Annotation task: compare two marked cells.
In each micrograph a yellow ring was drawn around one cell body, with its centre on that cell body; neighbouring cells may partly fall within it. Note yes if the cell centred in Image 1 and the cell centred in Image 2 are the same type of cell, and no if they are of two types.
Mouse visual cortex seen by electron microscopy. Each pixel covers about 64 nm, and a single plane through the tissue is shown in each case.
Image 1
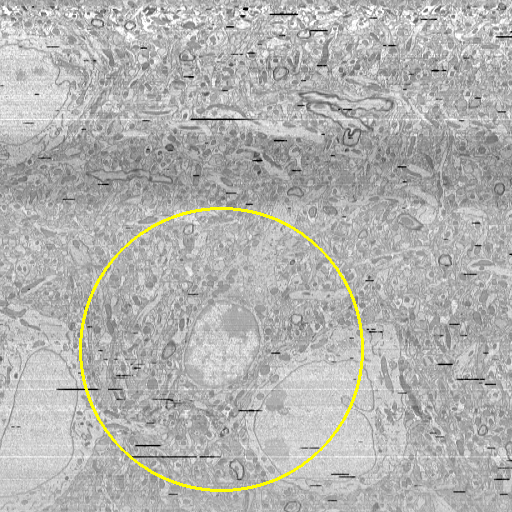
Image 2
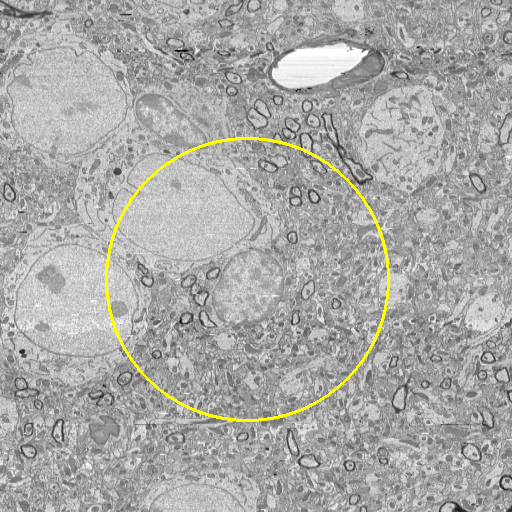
yes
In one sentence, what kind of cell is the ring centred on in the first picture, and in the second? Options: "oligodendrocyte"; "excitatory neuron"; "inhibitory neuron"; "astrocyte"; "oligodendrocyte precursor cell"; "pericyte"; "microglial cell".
In both pictures the ring is centred on an oligodendrocyte.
